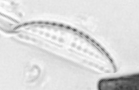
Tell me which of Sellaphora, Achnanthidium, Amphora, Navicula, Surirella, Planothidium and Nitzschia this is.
The picture shows Amphora.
